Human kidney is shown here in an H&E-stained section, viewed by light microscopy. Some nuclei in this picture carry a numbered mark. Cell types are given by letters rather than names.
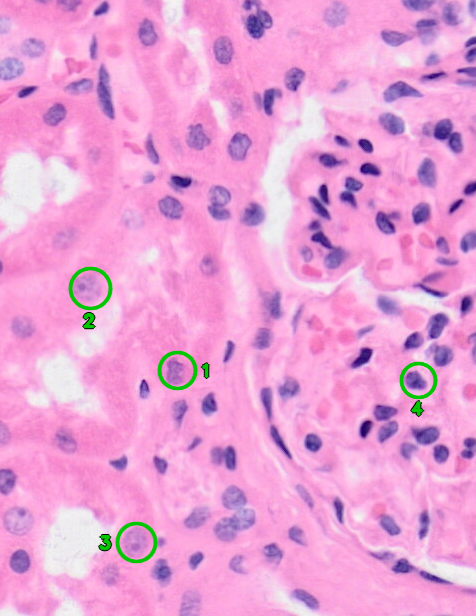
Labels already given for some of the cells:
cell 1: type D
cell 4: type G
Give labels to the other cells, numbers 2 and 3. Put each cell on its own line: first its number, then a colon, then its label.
2: type D
3: type D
